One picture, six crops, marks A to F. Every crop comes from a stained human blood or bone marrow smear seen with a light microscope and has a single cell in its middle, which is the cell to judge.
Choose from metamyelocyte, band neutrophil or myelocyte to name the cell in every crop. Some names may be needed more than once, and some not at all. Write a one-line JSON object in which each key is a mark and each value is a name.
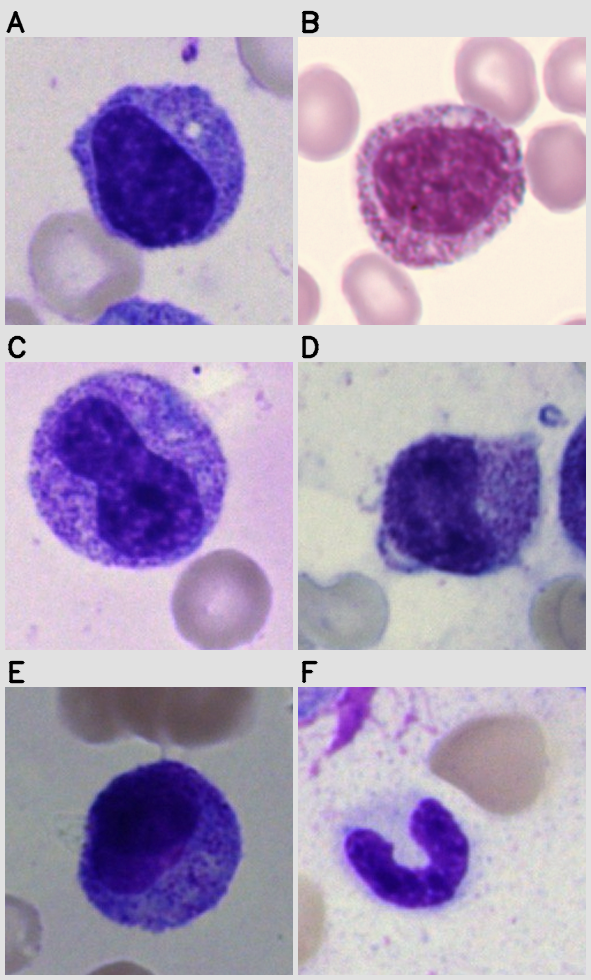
{"A": "myelocyte", "B": "myelocyte", "C": "metamyelocyte", "D": "metamyelocyte", "E": "myelocyte", "F": "band neutrophil"}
